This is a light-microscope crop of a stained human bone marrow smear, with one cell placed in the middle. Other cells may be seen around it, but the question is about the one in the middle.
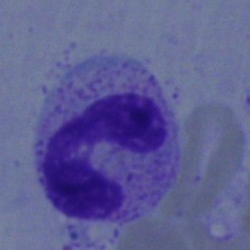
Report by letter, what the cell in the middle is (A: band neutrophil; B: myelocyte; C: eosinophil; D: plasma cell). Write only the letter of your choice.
A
